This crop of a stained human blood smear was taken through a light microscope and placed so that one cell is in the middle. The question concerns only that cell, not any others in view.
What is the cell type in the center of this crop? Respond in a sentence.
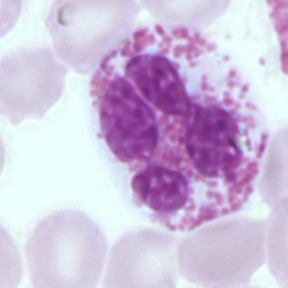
For this crop, the cell in the middle is an eosinophil.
